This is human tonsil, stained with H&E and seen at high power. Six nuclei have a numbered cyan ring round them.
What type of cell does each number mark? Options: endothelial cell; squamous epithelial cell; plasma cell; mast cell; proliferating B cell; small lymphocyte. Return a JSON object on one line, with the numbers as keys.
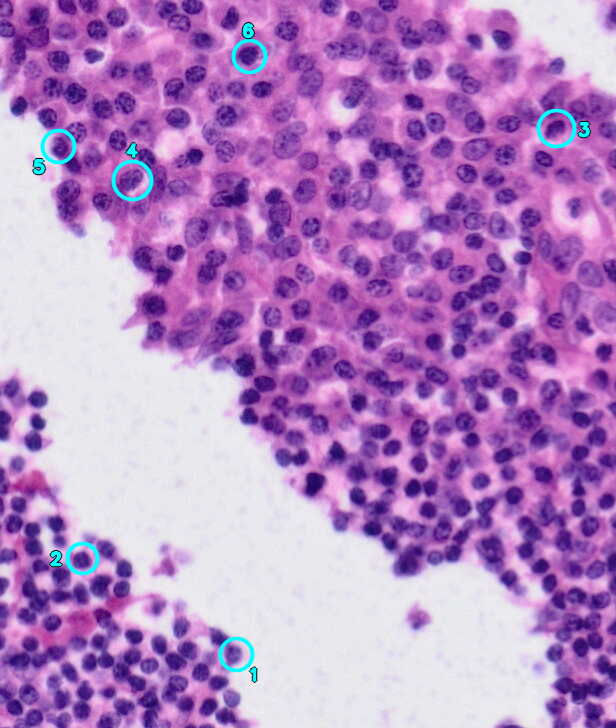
{"1": "small lymphocyte", "2": "small lymphocyte", "3": "plasma cell", "4": "plasma cell", "5": "plasma cell", "6": "plasma cell"}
